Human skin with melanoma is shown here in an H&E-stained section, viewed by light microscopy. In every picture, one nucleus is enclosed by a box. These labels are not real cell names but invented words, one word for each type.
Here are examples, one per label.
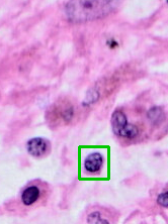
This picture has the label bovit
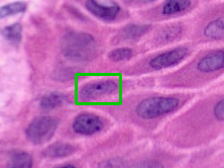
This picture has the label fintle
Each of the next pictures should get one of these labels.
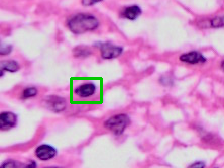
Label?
bovit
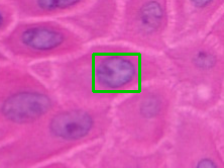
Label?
fintle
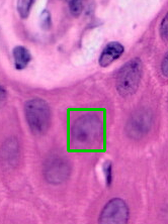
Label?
fintle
